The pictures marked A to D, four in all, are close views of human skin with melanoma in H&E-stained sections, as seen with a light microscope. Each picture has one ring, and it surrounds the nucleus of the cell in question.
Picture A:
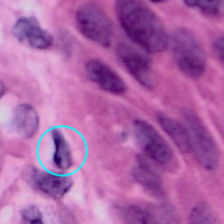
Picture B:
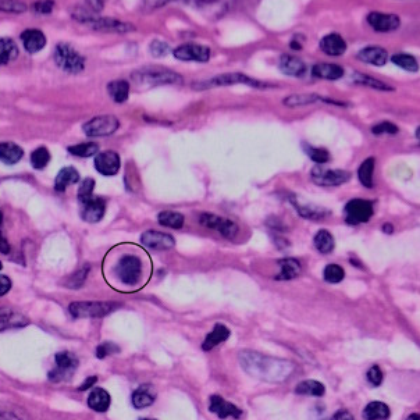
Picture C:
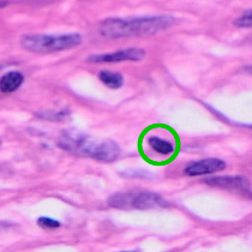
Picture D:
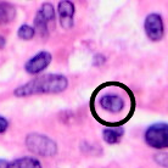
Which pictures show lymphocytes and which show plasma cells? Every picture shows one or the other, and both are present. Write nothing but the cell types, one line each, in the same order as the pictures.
lymphocyte
plasma cell
lymphocyte
lymphocyte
